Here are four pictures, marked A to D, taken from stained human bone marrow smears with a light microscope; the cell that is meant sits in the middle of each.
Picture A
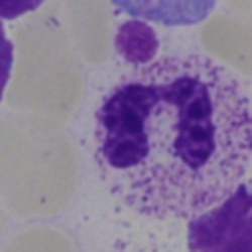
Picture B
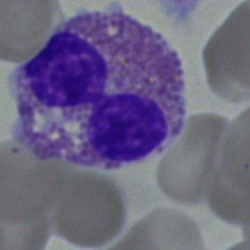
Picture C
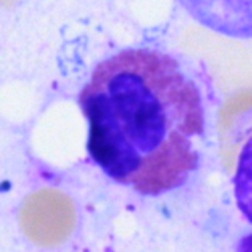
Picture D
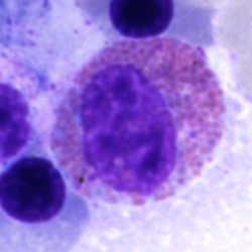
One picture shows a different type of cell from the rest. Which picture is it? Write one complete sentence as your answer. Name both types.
All pictures except A show eosinophils; picture A shows a segmented neutrophil.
